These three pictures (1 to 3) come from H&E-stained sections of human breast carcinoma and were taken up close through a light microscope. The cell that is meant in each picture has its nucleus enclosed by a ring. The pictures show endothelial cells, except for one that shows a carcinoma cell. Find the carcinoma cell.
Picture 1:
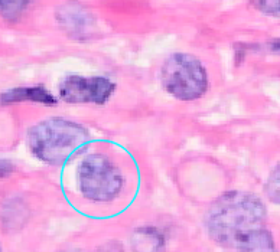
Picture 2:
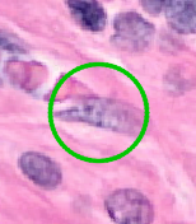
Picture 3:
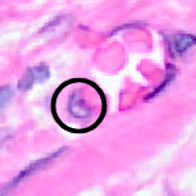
1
